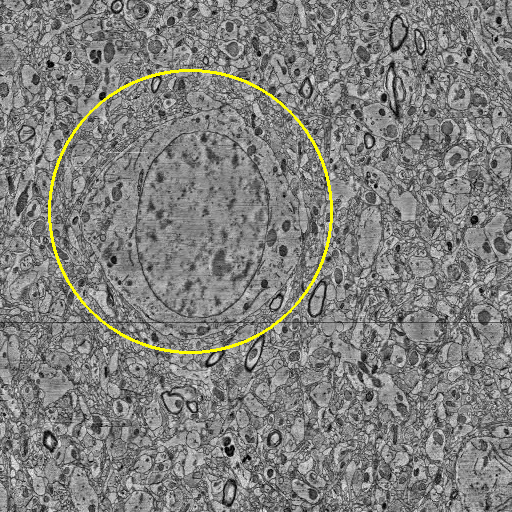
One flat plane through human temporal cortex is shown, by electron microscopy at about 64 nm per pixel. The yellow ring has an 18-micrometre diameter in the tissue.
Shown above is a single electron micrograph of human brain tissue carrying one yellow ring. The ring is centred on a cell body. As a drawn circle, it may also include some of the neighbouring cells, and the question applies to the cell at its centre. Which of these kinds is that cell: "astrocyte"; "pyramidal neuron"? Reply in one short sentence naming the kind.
The cell marked by the ring is a pyramidal neuron.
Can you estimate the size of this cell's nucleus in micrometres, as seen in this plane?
The nucleus comes to roughly 12 by 9 micrometres in this plane.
